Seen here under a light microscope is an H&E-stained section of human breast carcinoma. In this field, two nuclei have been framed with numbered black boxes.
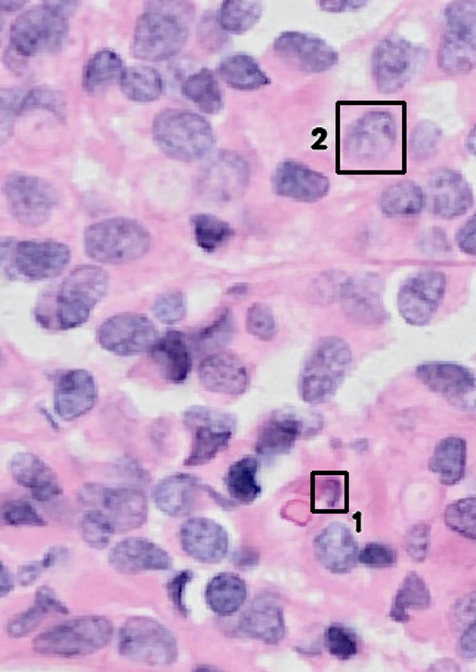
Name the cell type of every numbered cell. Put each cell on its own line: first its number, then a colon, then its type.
1: endothelial cell
2: carcinoma cell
